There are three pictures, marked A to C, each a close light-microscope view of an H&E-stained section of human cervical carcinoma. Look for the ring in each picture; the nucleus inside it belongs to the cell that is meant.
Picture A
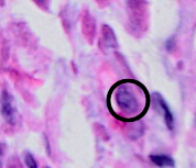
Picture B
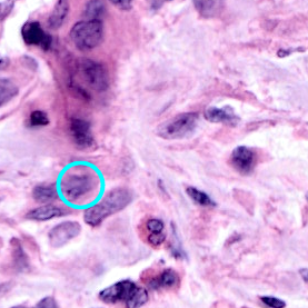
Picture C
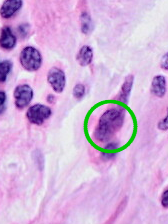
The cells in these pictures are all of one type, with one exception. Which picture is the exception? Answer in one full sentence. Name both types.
Unlike the rest, which show endothelial cells, picture C shows a “macrophage or monocyte”.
